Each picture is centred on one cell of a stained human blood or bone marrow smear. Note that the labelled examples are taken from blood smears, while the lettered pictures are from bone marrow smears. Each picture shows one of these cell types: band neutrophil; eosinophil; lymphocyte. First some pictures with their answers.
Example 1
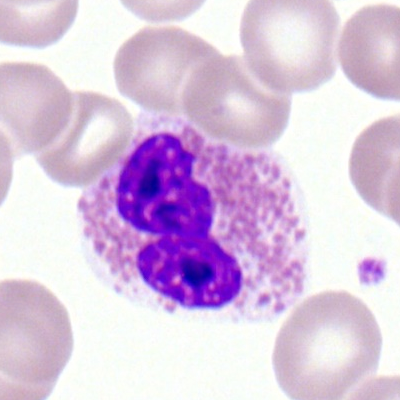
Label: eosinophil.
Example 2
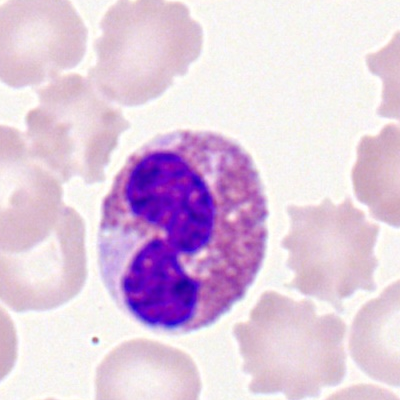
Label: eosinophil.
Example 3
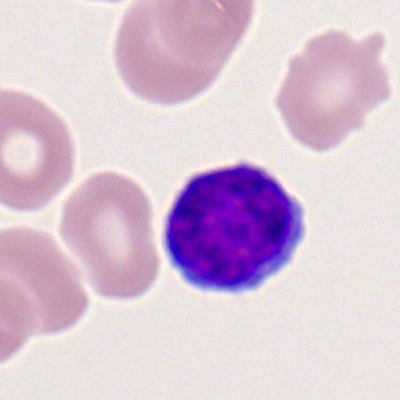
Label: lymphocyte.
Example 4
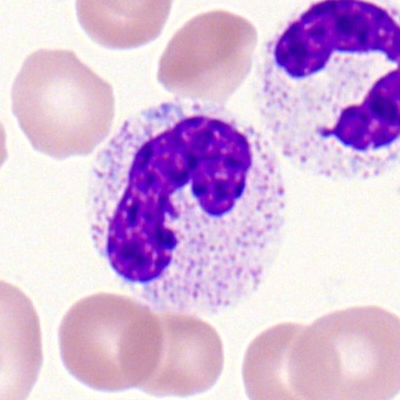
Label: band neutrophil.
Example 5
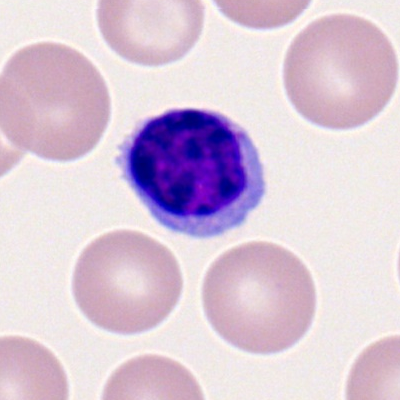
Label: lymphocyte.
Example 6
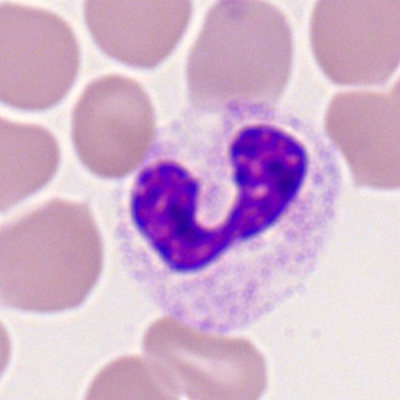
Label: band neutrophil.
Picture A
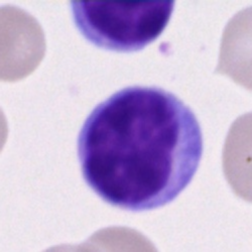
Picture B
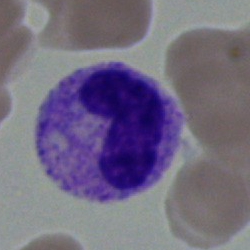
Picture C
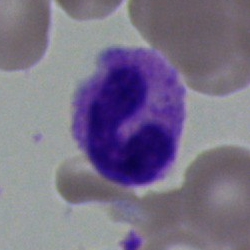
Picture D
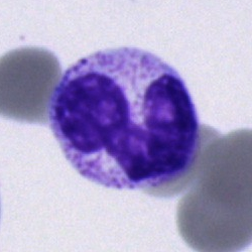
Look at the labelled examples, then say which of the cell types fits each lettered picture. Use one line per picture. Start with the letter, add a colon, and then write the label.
A: lymphocyte.
B: band neutrophil.
C: band neutrophil.
D: band neutrophil.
